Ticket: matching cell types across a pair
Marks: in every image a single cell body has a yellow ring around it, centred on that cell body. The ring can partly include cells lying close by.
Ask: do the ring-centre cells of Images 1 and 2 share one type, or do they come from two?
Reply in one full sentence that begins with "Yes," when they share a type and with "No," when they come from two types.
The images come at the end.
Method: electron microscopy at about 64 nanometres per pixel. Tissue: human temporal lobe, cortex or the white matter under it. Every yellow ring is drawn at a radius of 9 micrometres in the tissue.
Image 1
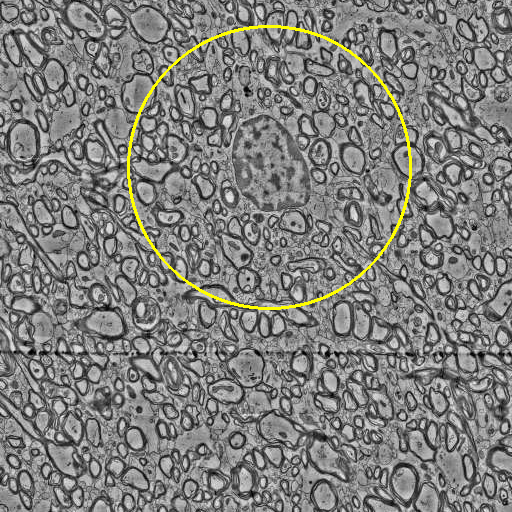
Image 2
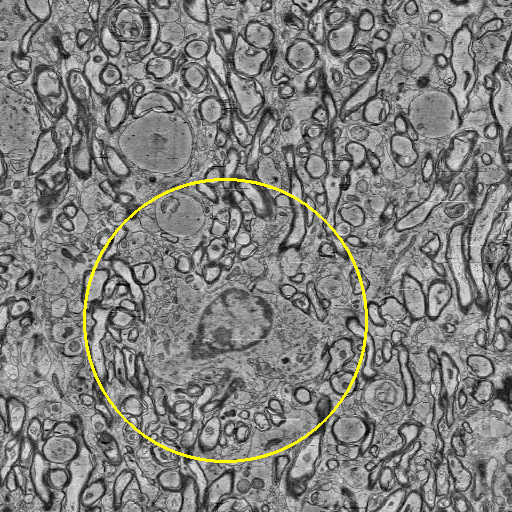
Yes, the cells in the centres of the rings in Image 1 and Image 2 share one type.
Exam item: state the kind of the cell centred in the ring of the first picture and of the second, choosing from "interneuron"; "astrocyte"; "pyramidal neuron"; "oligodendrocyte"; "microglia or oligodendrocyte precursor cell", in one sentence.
The cell at the ring centre is a microglial cell or oligodendrocyte precursor cell in both pictures.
